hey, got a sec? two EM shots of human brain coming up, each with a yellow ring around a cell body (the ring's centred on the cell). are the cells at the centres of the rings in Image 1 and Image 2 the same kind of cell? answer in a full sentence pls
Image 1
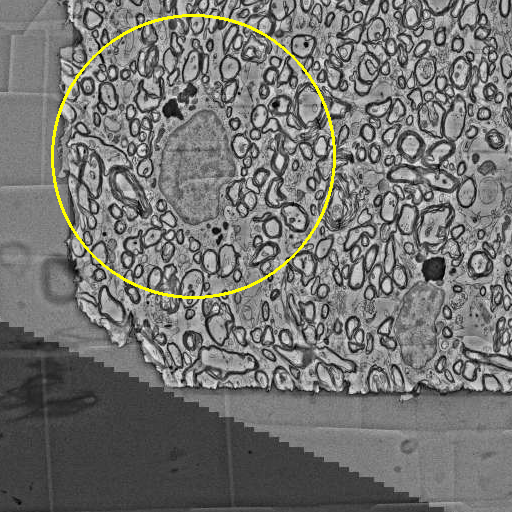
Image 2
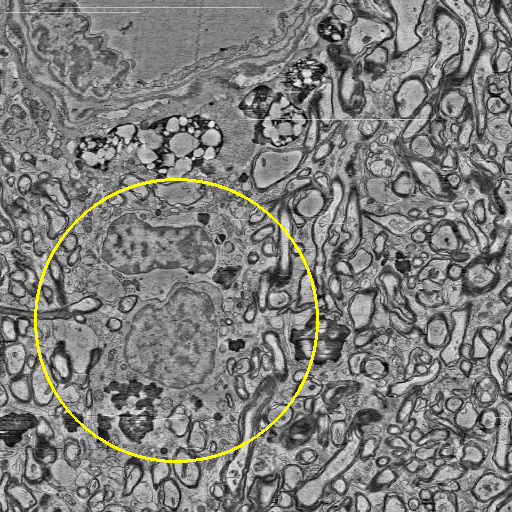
Yes, both are the same kind of cell.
